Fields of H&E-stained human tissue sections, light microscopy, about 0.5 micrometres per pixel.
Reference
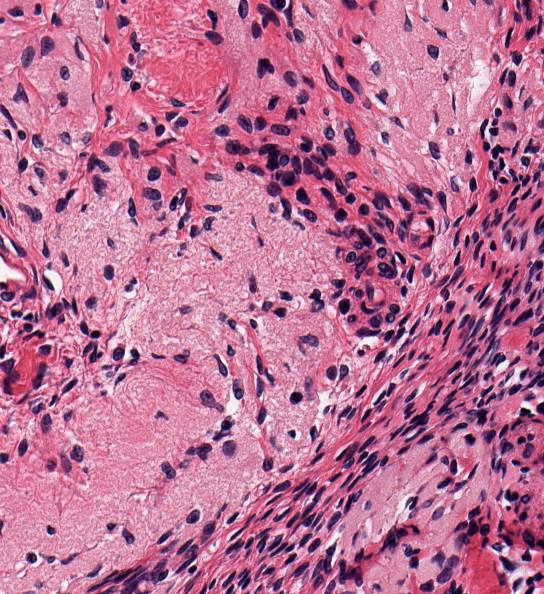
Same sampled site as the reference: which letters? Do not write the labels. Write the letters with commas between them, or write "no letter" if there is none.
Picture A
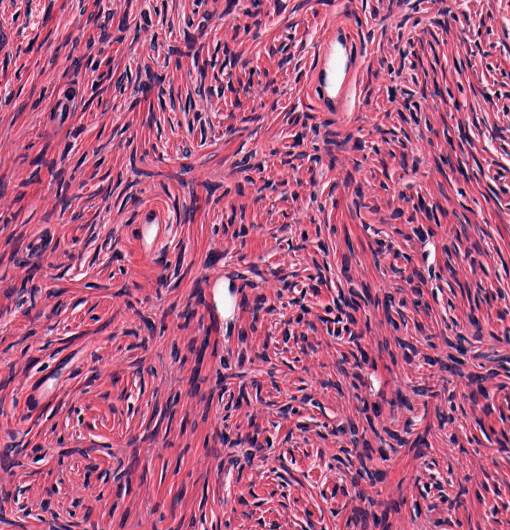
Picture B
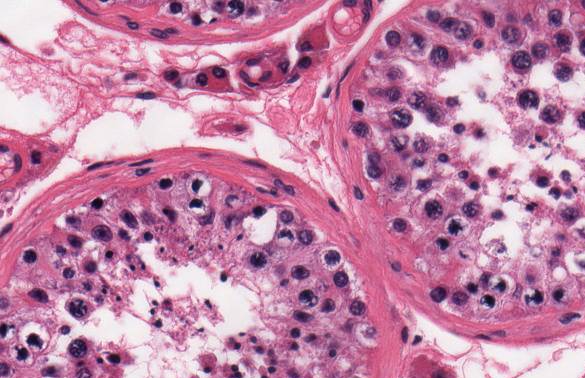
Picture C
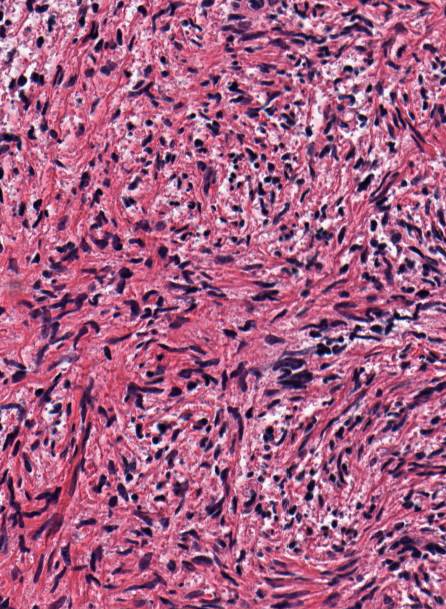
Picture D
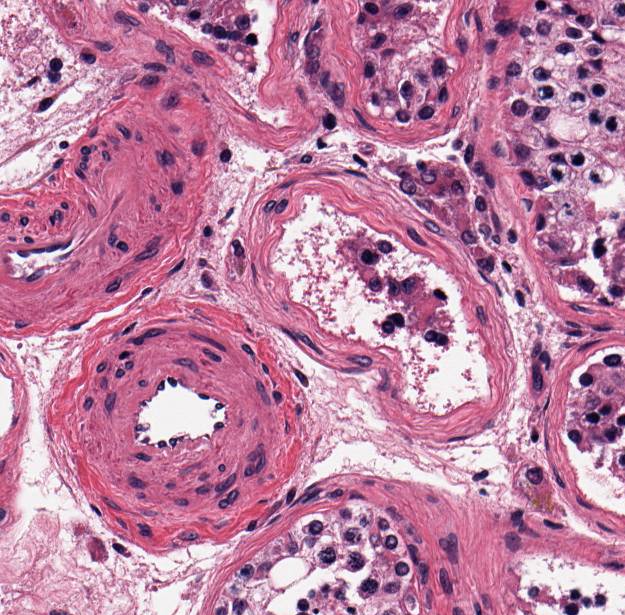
A, C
